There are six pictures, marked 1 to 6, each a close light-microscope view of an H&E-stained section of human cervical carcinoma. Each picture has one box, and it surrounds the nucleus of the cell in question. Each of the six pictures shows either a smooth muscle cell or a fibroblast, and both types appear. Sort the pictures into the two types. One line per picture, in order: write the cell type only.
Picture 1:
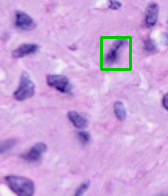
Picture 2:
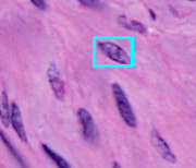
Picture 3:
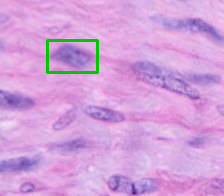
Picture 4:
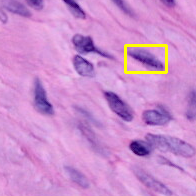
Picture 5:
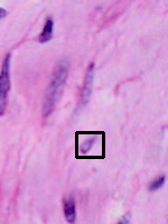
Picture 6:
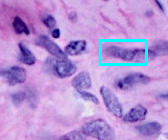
fibroblast
fibroblast
smooth muscle cell
fibroblast
fibroblast
smooth muscle cell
